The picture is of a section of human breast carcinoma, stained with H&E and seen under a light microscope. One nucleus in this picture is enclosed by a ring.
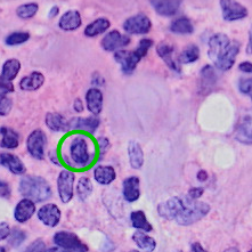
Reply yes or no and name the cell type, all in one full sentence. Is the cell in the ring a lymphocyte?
Yes, the cell in the ring is recognized as a lymphocyte in this section.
